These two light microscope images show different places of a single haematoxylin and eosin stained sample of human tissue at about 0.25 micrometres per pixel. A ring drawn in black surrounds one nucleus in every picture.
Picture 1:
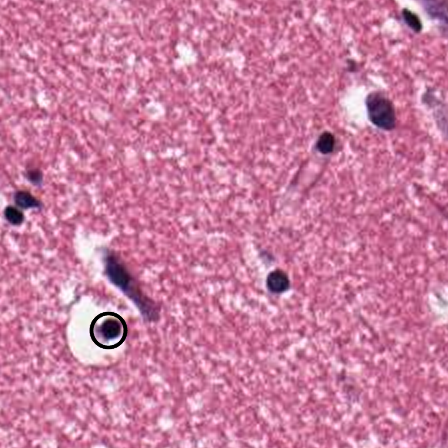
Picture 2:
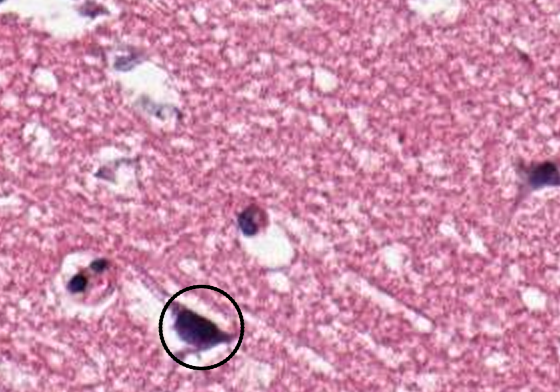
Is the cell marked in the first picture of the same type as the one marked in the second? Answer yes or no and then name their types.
No, the first is an oligodendrocyte and the second a neuron.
